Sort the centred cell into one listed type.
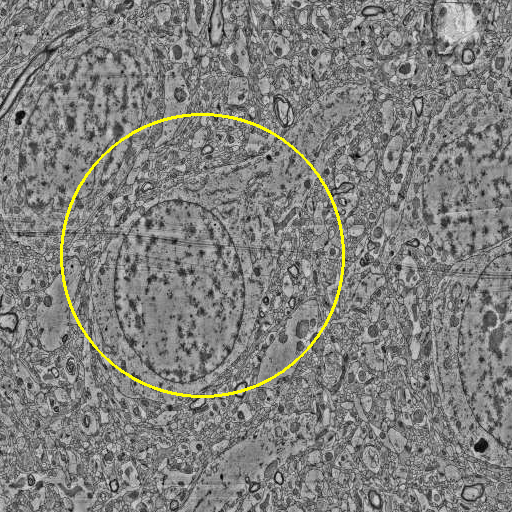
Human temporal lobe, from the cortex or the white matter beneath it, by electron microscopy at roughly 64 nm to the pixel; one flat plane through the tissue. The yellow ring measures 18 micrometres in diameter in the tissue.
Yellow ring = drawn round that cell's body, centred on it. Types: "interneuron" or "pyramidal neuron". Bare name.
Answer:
pyramidal neuron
